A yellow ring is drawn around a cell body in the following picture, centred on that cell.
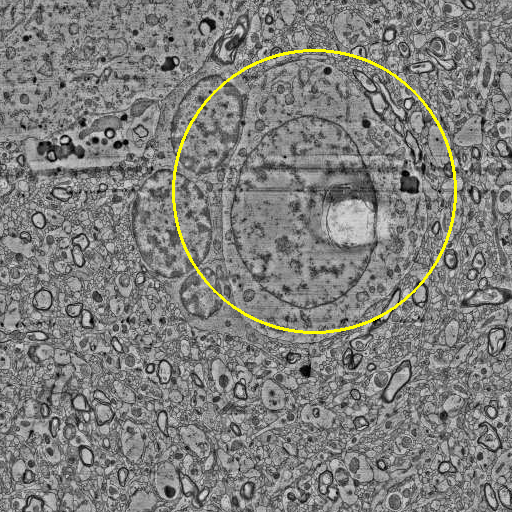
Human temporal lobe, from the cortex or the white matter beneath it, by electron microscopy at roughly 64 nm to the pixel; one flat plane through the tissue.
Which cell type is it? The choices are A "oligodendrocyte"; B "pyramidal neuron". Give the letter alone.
B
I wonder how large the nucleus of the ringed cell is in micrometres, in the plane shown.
In this plane, roughly 12 by 9 micrometres.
